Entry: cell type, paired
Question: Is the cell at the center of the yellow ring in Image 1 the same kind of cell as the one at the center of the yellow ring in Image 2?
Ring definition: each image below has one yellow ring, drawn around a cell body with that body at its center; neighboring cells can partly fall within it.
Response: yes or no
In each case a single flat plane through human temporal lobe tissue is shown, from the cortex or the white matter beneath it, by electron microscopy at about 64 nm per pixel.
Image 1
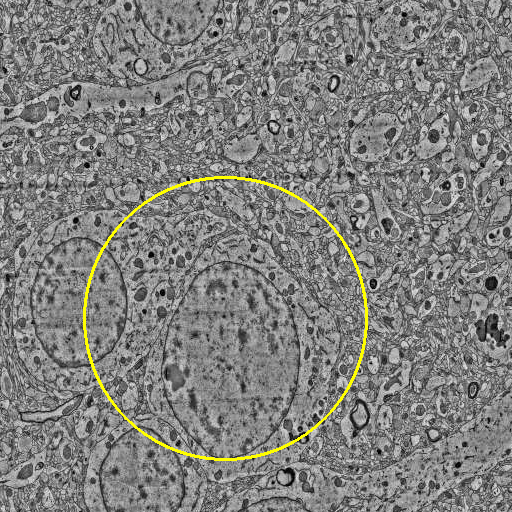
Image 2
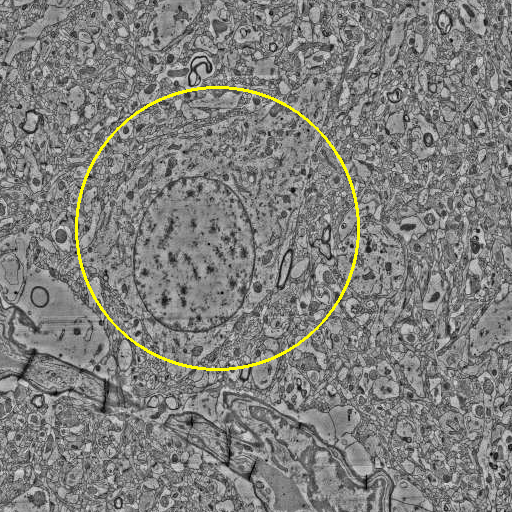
yes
